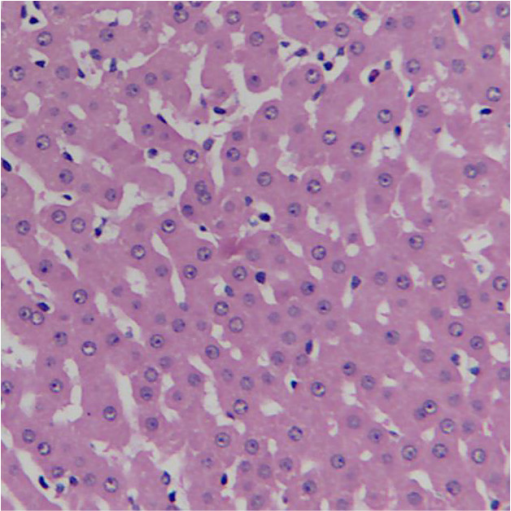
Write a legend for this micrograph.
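This is liver tissue made of hepatocytes, polygonal cells with evenly pink, finely granular cytoplasm and round central nuclei, each with a visible nucleolus. The cells lie in cords that branch and run between narrow, irregular clear spaces, the sinusoids. A few small, darker, flatter nuclei along the sinusoids belong to lining cells. No clear vacuoles interrupt the cytoplasm, and the architecture is orderly. It is the appearance of normal liver.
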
